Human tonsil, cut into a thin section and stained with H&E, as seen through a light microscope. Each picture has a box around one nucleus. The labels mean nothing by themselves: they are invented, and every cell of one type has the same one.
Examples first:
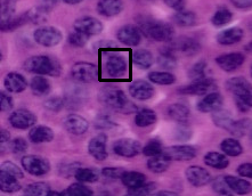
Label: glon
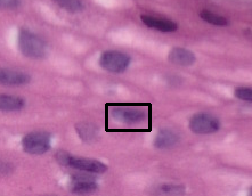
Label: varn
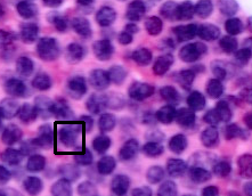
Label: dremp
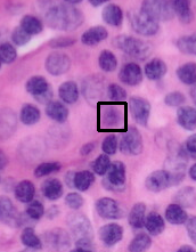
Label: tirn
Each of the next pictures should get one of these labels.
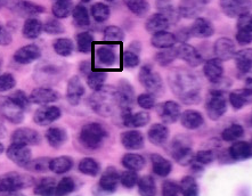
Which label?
dremp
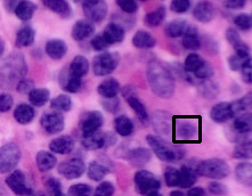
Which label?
tirn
